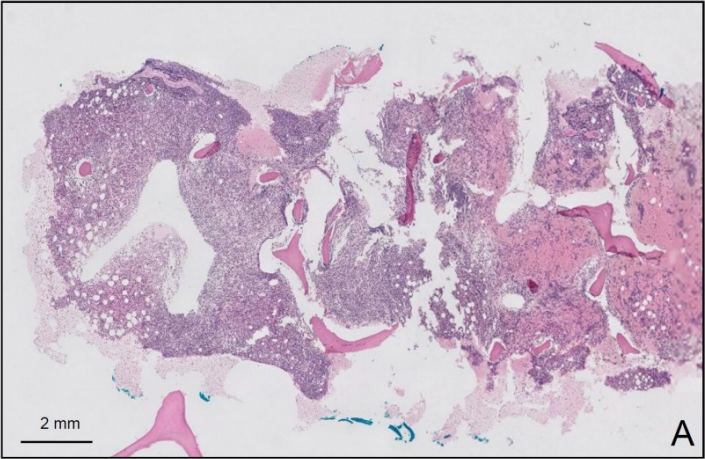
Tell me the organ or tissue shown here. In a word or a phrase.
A: Bone marrow.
